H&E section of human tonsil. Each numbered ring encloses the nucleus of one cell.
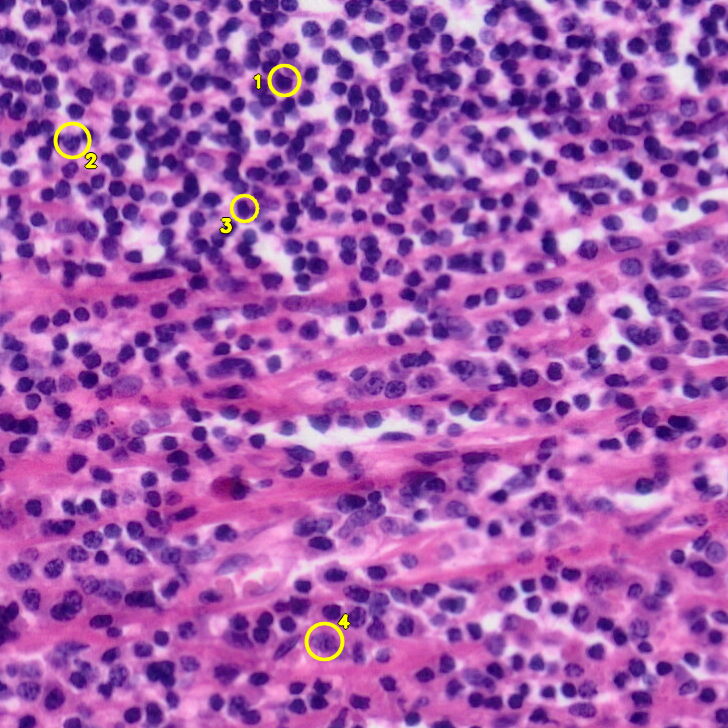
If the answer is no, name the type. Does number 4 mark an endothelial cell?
Yes.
